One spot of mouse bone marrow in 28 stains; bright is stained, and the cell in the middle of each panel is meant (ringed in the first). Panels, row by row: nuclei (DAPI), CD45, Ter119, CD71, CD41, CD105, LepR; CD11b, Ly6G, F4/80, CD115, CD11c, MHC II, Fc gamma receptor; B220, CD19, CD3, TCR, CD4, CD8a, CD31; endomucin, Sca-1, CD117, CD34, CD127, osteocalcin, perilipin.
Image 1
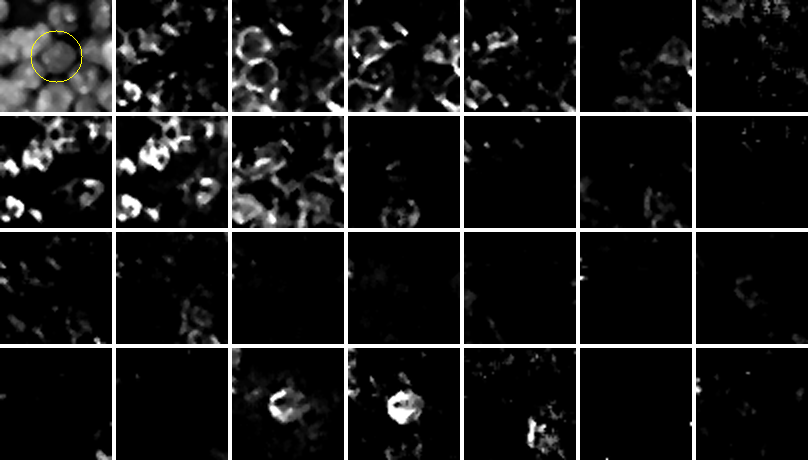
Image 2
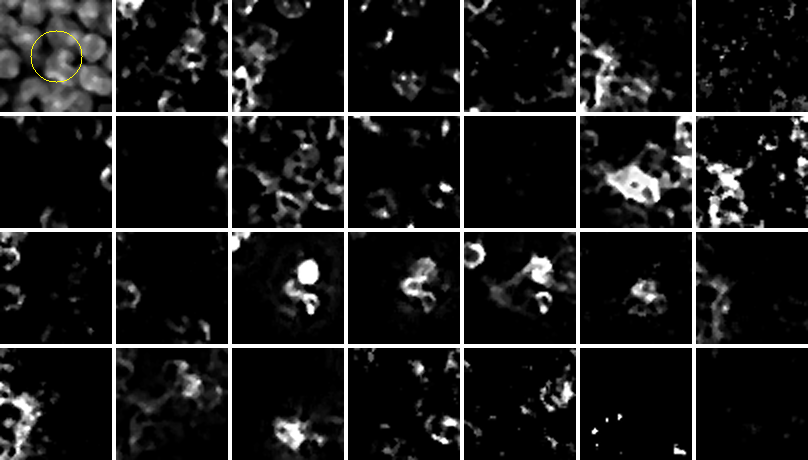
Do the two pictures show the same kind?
No: a common myeloid progenitor, then a CD8 T cell.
